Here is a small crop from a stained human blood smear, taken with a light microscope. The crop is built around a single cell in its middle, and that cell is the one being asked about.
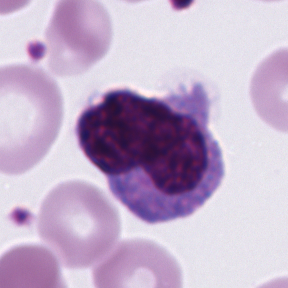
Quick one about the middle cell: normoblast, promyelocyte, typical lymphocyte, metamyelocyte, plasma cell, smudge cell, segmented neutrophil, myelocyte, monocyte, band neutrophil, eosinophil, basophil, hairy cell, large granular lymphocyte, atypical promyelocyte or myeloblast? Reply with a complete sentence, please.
The center cell of this crop is a monocyte.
